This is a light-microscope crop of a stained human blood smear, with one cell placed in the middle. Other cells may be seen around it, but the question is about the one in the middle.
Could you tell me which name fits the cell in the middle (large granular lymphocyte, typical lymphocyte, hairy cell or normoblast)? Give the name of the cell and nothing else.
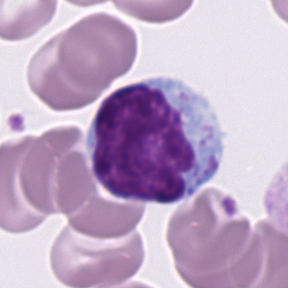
large granular lymphocyte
